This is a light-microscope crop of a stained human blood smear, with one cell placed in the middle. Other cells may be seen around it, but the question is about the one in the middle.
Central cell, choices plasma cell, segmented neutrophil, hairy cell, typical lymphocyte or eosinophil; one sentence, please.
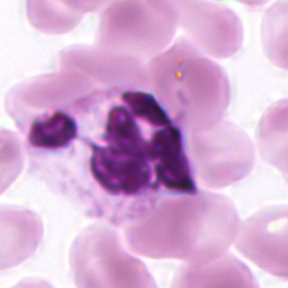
The identification for the central cell is a segmented neutrophil.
